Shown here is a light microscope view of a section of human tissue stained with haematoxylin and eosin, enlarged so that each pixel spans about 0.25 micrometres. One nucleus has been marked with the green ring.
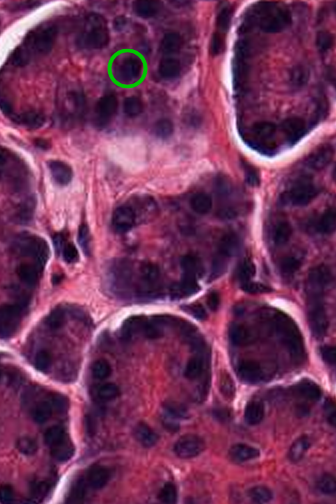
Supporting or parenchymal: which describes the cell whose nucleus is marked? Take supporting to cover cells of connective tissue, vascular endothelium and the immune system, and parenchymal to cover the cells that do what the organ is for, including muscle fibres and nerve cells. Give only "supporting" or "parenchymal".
parenchymal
